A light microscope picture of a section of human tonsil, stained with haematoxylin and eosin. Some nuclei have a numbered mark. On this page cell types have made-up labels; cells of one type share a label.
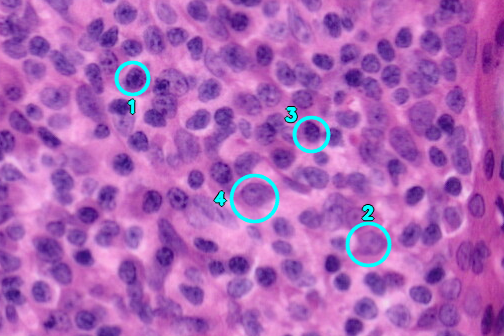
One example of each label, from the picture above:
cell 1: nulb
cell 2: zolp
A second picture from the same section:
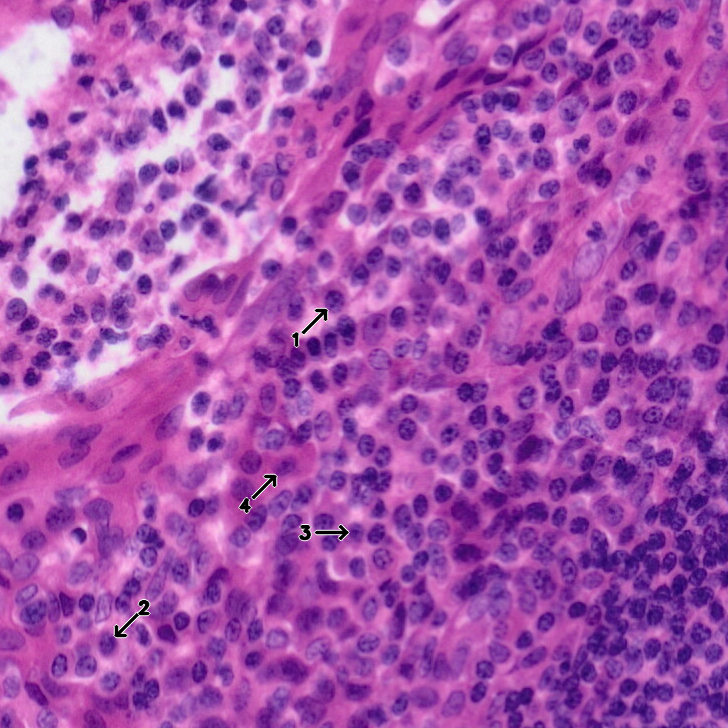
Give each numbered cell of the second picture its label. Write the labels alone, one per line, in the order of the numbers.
nulb
nulb
nulb
zolp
